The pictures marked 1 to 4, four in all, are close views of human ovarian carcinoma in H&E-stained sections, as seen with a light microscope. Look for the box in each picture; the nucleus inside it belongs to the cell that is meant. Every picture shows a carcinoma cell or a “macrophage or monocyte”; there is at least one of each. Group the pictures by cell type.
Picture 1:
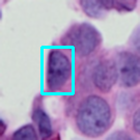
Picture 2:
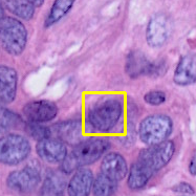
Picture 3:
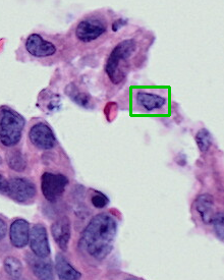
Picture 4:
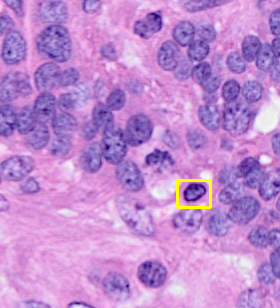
1: carcinoma cell
2: carcinoma cell
3: macrophage or monocyte
4: macrophage or monocyte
